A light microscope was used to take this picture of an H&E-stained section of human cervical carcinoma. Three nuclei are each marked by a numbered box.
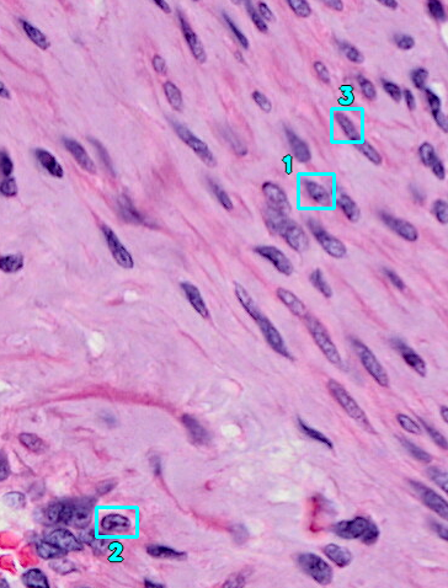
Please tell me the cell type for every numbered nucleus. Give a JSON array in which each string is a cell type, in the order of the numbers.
["smooth muscle cell", "endothelial cell", "smooth muscle cell"]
